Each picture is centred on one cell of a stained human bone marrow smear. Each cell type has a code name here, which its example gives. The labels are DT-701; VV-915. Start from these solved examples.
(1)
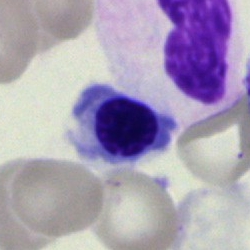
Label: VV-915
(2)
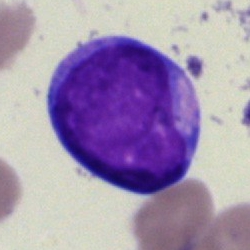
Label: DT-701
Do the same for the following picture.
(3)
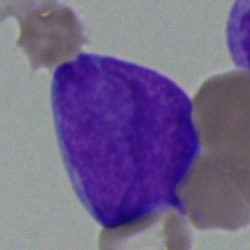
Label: DT-701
